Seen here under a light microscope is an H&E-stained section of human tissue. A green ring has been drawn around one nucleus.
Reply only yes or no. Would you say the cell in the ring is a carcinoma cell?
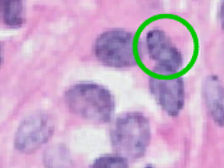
yes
